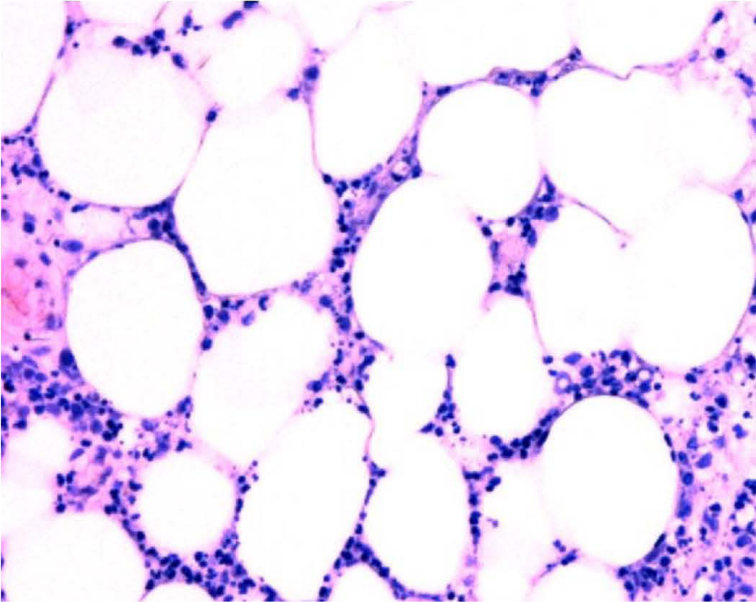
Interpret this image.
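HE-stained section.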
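Fat lobule with inflammation between the fat cells: large, empty, round to polygonal fat cell vacuoles fill most of the field, separated by thin pink strands. Within these strands, and in small wedges where several fat cells meet, lie inflammatory cells with small dark blue nuclei. The cells are denser toward the left and lower right edges, where pink fibrous material and crowded nuclei replace the fat. The infiltrate runs among the individual fat cells throughout the lobule, not only along its edges.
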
